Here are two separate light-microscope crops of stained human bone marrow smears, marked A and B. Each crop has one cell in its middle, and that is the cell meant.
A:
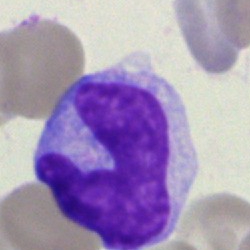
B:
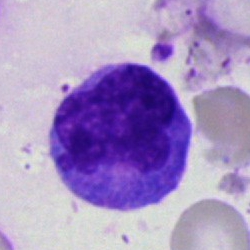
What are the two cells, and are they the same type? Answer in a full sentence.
Yes, both crops show monocytes, the one and the other.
